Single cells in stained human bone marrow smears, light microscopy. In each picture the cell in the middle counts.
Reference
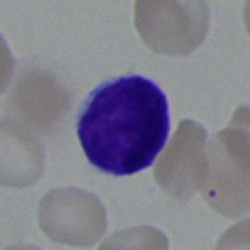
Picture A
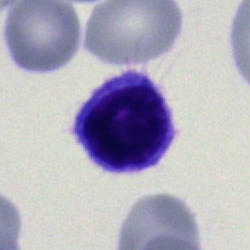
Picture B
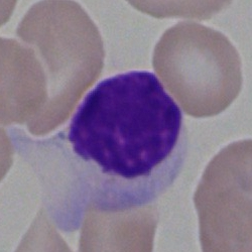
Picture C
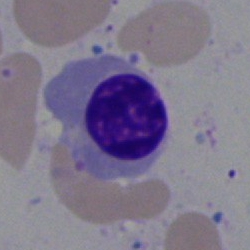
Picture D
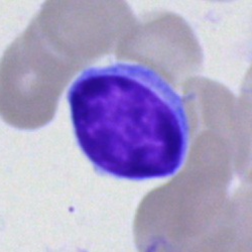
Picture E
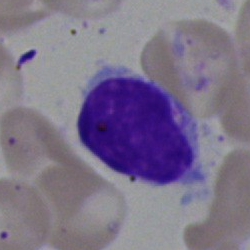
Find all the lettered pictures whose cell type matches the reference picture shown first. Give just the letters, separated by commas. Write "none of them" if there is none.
A, B, D, E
